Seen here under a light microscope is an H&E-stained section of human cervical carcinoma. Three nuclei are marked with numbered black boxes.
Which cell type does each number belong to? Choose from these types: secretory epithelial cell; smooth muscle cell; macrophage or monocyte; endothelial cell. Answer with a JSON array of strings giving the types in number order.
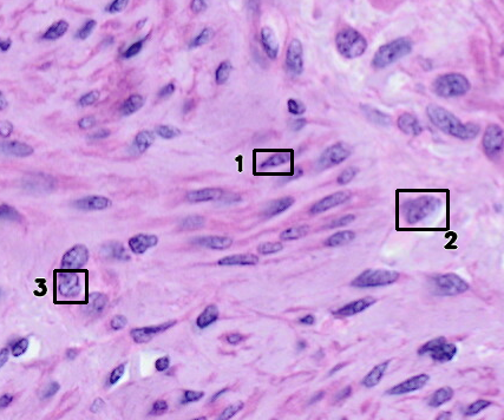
["smooth muscle cell", "macrophage or monocyte", "endothelial cell"]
